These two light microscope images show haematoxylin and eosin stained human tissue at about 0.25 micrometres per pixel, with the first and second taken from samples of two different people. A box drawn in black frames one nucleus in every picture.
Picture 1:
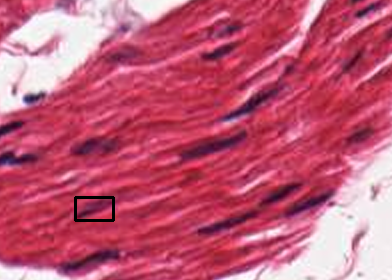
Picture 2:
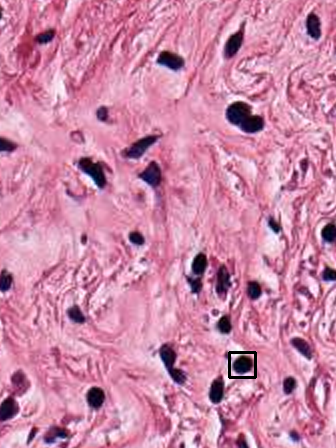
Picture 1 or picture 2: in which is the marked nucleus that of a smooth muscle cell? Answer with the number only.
1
